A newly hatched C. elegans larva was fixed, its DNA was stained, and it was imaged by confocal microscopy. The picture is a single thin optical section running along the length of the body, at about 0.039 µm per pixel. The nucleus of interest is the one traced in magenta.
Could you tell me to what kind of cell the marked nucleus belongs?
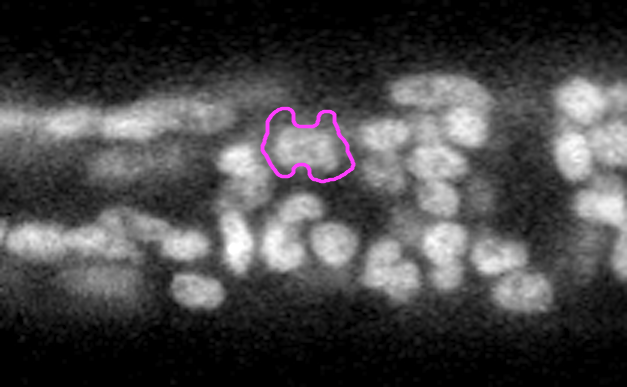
pharyngeal muscle cell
